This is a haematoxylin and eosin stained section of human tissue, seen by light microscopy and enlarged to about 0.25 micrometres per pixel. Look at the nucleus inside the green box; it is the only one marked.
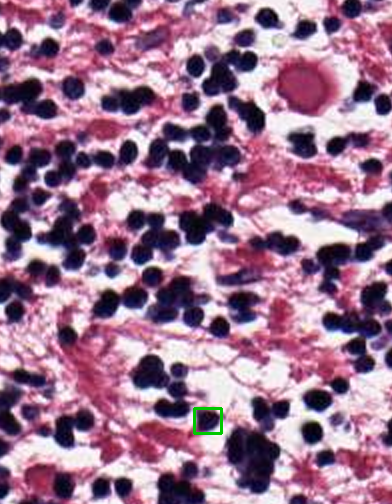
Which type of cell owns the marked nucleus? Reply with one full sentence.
Marked in this picture is the nucleus of a cerebellar granule cell.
